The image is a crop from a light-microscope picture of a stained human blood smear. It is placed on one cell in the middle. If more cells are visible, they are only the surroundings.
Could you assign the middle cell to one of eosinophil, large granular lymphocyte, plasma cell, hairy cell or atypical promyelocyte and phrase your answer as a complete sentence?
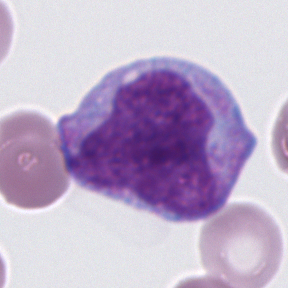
Here the cell in the middle is an atypical promyelocyte.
